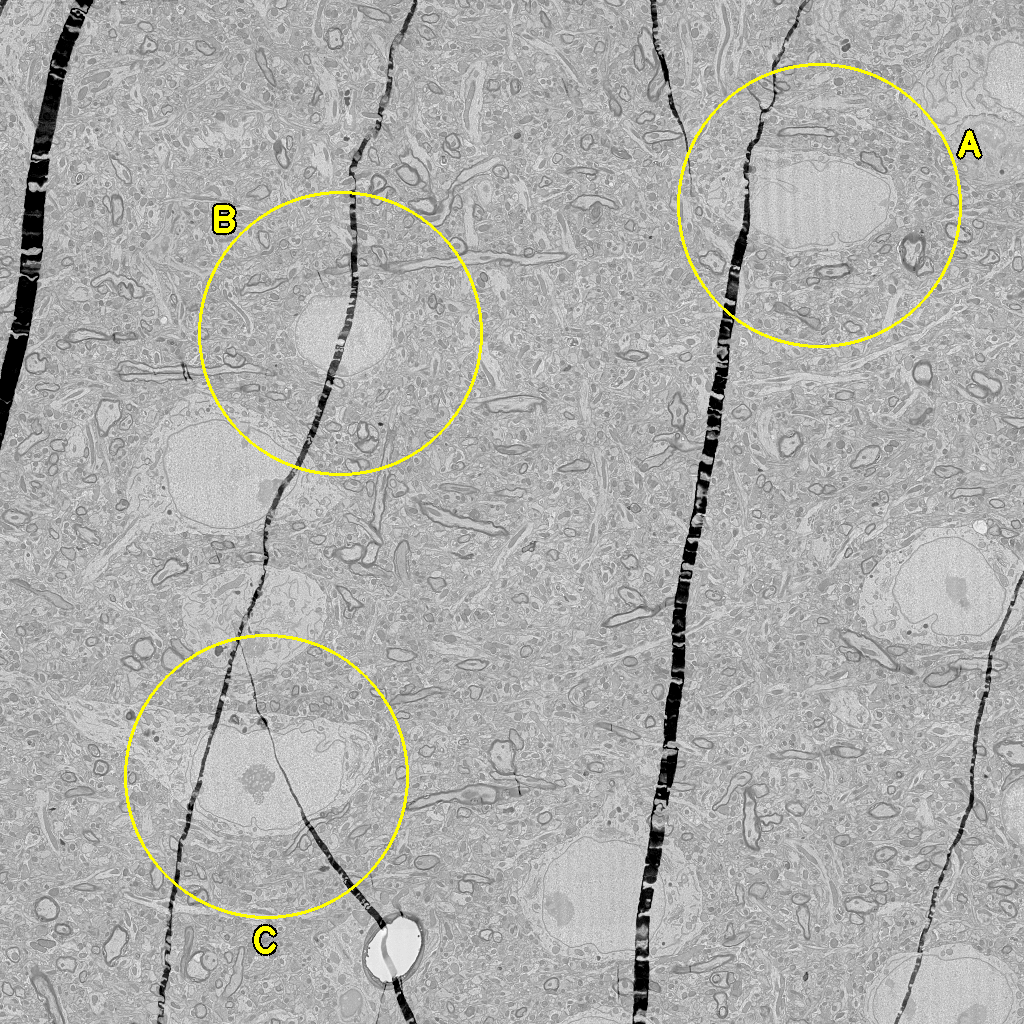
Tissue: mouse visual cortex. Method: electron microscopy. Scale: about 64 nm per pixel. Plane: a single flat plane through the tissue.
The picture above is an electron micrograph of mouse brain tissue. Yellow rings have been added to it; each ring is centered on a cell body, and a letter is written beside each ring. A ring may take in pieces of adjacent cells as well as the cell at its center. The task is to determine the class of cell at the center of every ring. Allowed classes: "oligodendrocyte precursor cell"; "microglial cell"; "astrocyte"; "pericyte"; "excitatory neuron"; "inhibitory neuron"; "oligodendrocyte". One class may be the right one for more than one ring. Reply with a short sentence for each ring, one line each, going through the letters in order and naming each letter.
Ring A is centered on an excitatory neuron.
Ring B is centered on an astrocyte.
Ring C is centered on an inhibitory neuron.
